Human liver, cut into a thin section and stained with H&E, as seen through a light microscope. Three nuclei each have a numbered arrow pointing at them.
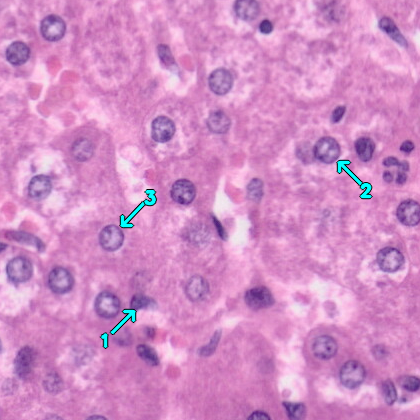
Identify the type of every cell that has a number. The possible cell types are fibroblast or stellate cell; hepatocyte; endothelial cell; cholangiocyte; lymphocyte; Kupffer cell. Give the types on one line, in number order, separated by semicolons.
fibroblast or stellate cell; hepatocyte; hepatocyte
